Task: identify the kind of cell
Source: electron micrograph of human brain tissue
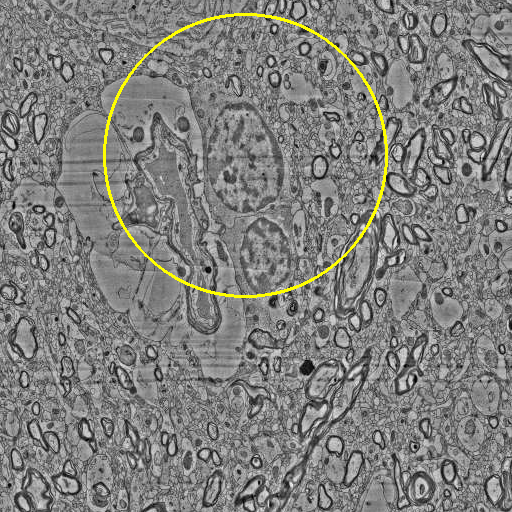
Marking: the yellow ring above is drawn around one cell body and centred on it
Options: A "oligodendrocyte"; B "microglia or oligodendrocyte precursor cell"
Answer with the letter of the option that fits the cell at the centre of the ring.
A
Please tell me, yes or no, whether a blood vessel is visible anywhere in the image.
Yes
